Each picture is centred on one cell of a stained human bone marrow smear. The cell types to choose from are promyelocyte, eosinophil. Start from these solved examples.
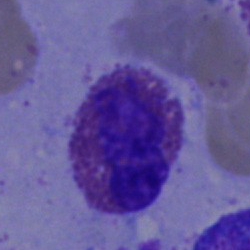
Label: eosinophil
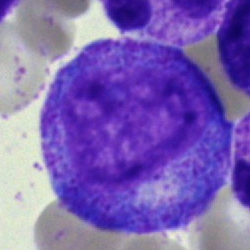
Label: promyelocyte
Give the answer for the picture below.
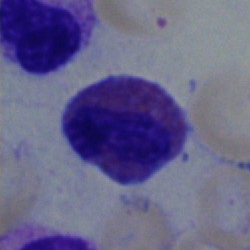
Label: eosinophil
